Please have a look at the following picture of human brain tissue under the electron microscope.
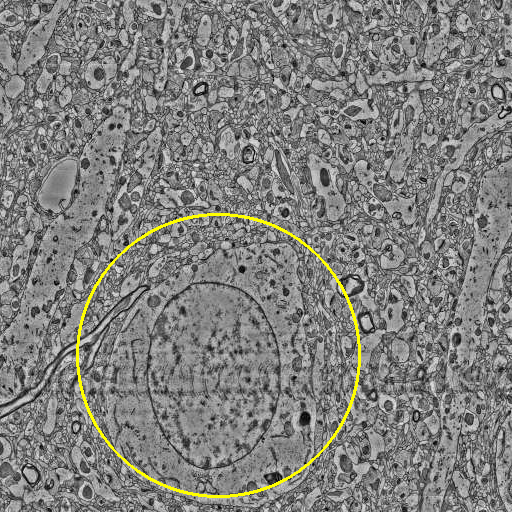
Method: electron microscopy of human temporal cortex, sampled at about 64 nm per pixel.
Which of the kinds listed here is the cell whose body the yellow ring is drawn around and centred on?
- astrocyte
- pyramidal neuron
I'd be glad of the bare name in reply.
pyramidal neuron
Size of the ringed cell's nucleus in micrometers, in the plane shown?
Approximately 12 by 9 micrometers in this plane.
